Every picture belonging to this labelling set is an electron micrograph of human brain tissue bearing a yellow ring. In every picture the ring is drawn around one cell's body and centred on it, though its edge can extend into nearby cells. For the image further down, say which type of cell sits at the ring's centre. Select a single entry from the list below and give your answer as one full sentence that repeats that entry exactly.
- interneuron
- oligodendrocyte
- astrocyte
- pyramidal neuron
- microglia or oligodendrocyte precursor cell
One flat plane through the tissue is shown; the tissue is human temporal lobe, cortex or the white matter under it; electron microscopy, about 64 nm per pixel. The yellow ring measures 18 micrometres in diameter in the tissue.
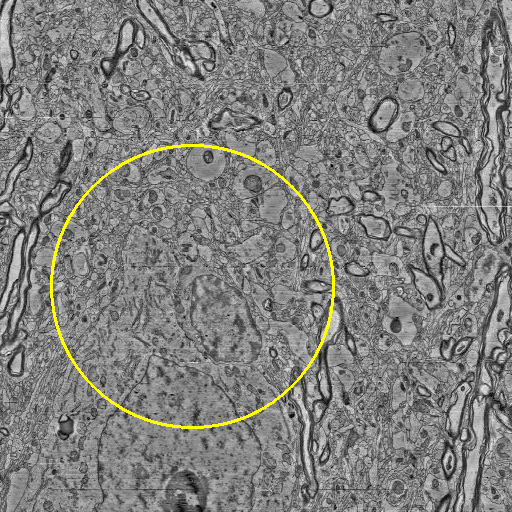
In the picture, an oligodendrocyte is the cell at the centre of the yellow ring.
